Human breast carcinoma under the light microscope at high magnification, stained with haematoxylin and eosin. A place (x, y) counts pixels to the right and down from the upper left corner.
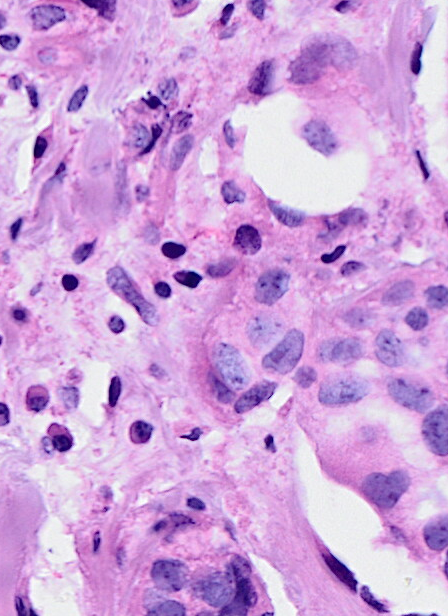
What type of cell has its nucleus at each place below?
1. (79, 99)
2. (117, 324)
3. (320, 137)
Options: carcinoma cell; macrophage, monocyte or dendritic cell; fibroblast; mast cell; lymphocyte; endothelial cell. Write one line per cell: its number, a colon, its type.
1: lymphocyte
2: lymphocyte
3: carcinoma cell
